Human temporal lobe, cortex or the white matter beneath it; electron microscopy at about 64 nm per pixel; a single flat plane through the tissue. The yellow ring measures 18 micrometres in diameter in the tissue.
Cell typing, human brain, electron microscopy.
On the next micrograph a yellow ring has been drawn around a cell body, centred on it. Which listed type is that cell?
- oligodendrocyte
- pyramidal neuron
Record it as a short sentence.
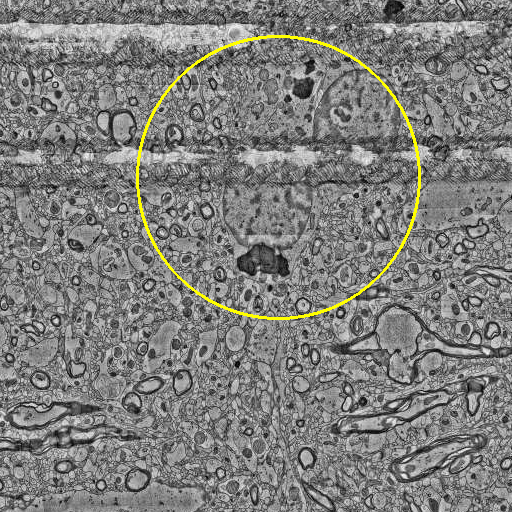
The cell body in the ring's centre belongs to an oligodendrocyte.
